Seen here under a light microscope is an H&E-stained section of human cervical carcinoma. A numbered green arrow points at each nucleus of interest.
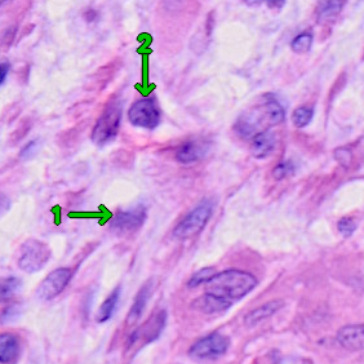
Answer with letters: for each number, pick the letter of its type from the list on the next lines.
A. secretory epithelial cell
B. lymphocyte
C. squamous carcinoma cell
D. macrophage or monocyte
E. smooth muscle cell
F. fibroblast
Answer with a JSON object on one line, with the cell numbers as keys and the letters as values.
{"1": "F", "2": "D"}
